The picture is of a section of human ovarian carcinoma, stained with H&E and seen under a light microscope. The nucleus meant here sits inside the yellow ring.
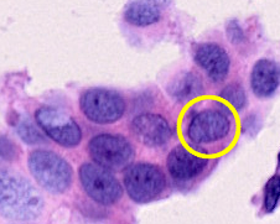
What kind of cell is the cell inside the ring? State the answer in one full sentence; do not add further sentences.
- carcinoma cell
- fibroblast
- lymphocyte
In this field of tissue, the cell inside the ring is a carcinoma cell.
